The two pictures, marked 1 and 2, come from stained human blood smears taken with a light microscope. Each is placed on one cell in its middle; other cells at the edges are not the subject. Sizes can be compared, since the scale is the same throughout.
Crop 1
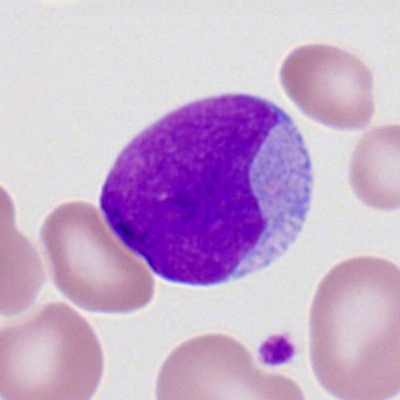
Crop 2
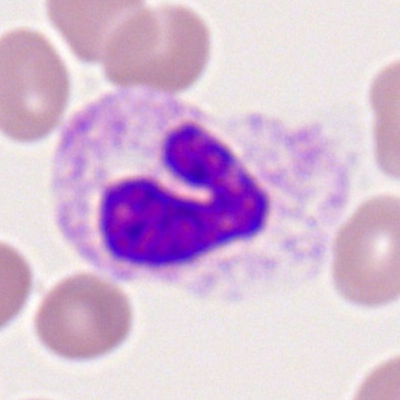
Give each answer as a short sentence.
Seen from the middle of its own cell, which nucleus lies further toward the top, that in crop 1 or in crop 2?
In crop 1 the nucleus is shifted more toward the top.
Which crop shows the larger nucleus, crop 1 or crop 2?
Larger is the nucleus in crop 1, at roughly 1.5 times the area of the other.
